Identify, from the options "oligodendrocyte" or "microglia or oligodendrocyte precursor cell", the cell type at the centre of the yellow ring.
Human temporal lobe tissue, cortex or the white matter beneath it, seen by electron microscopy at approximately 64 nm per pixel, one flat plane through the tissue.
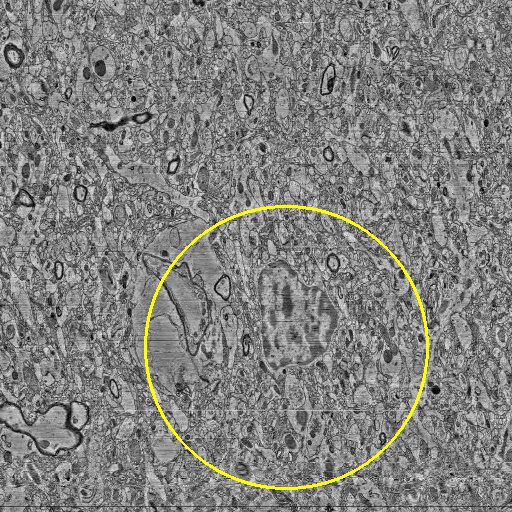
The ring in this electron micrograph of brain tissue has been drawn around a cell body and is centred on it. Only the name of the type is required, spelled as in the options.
microglia or oligodendrocyte precursor cell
